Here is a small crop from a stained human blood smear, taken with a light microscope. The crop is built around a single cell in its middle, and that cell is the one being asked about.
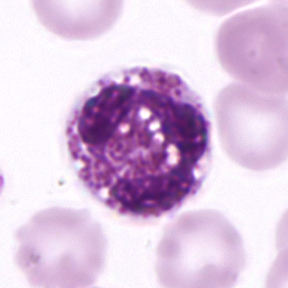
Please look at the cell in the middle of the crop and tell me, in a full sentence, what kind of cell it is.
For this crop, the cell in the middle is an eosinophil.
